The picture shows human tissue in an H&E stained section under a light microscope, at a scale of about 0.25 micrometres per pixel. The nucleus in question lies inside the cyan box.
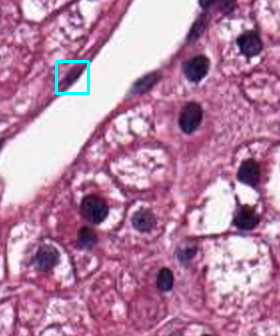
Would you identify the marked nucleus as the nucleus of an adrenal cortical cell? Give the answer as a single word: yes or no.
no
